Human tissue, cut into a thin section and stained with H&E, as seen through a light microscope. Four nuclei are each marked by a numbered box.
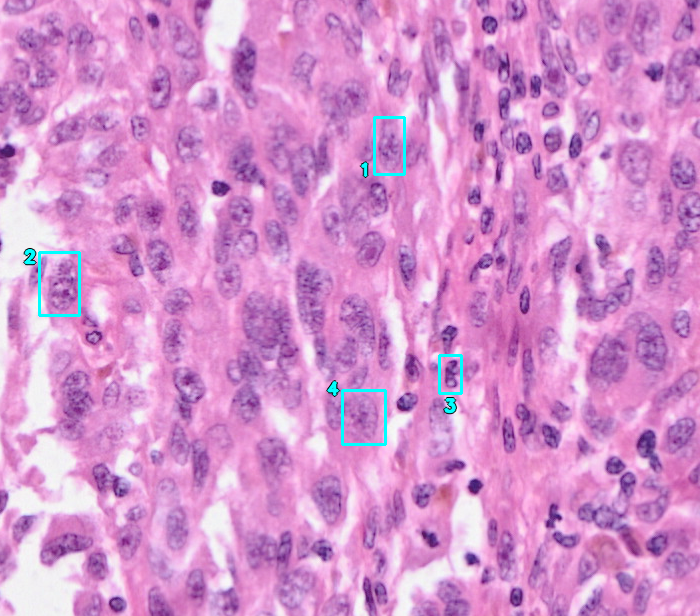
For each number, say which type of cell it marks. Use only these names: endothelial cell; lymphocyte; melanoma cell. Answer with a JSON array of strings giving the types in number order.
["melanoma cell", "melanoma cell", "lymphocyte", "melanoma cell"]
